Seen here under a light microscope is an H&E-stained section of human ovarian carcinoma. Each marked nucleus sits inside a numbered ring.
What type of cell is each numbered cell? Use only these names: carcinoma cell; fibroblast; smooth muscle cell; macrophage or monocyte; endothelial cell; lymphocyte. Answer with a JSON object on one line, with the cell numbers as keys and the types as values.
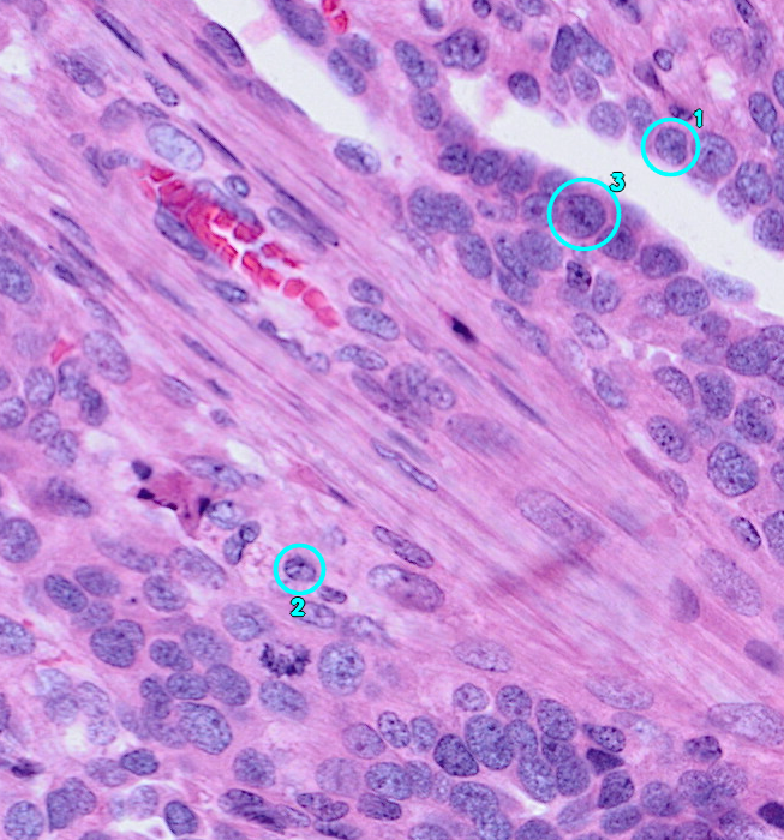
{"1": "carcinoma cell", "2": "macrophage or monocyte", "3": "carcinoma cell"}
